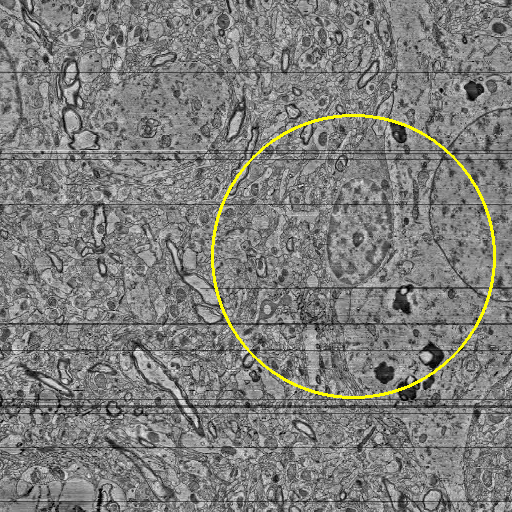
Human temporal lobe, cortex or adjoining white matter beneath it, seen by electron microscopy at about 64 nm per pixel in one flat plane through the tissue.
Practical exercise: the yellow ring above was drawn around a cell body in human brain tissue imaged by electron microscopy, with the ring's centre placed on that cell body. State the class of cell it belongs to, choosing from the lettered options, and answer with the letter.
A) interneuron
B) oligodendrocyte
B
